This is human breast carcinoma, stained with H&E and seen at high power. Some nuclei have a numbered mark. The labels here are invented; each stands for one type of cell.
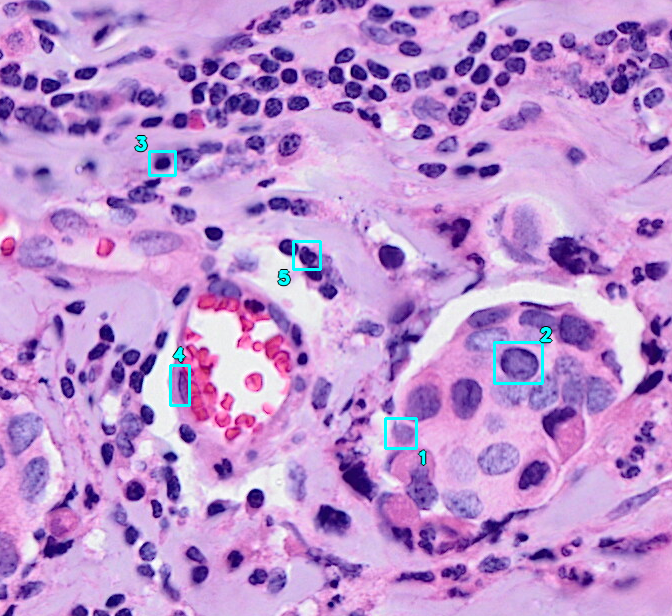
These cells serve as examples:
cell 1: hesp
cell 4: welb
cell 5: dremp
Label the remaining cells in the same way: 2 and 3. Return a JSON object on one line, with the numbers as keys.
{"2": "hesp", "3": "dremp"}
